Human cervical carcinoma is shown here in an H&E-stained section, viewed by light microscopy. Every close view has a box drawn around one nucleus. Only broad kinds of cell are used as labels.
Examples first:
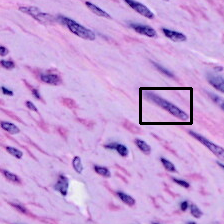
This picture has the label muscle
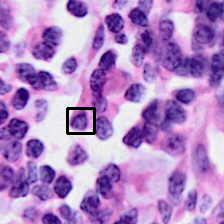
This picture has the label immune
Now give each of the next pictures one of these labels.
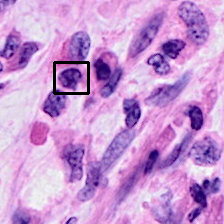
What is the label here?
immune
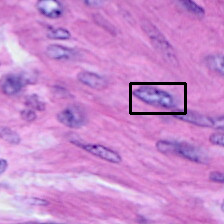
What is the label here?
muscle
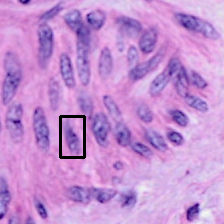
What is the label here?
muscle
